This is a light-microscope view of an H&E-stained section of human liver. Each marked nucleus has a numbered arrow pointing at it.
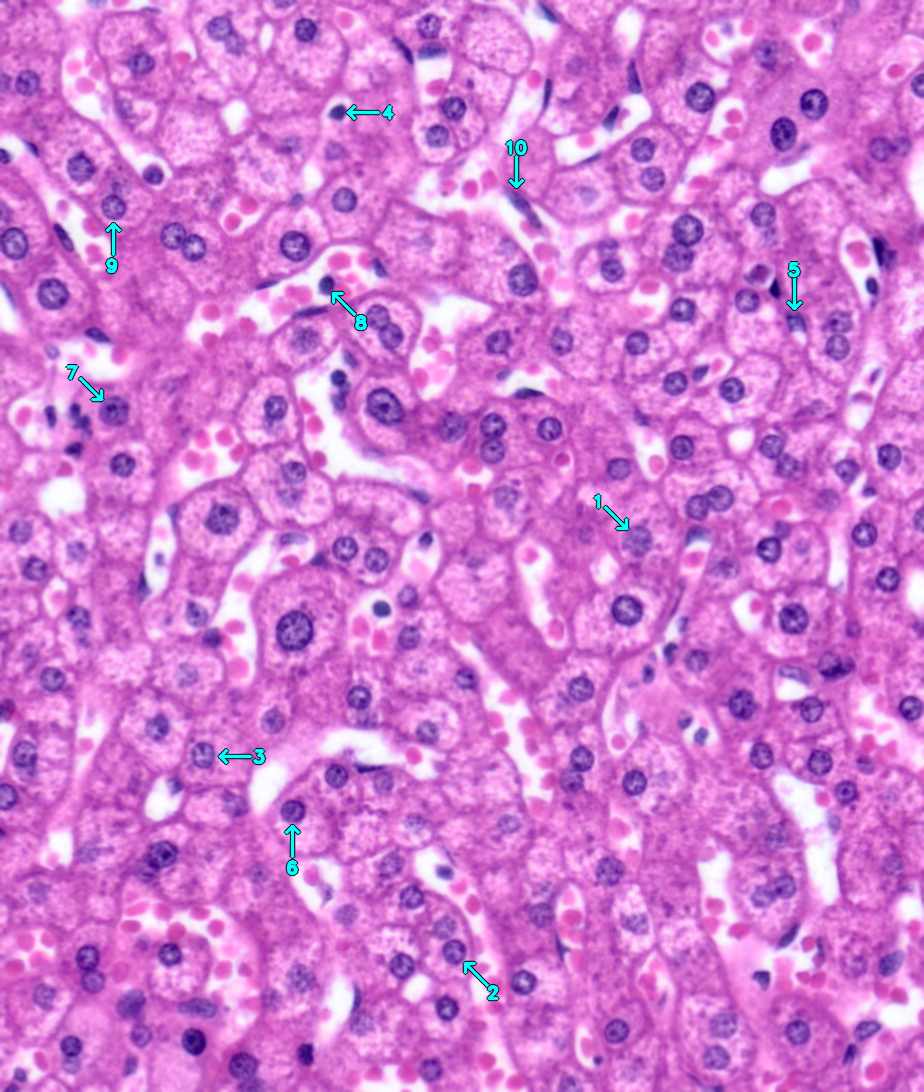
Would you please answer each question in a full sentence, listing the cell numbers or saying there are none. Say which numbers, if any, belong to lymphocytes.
The cells to which the numbers 4 and 8 refer are lymphocytes.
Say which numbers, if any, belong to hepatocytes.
The numbers 1, 2, 3, 6, 7 and 9 in this section indicate hepatocytes.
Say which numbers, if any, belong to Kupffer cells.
Among the marked cells, a Kupffer cell is found only at number 10.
